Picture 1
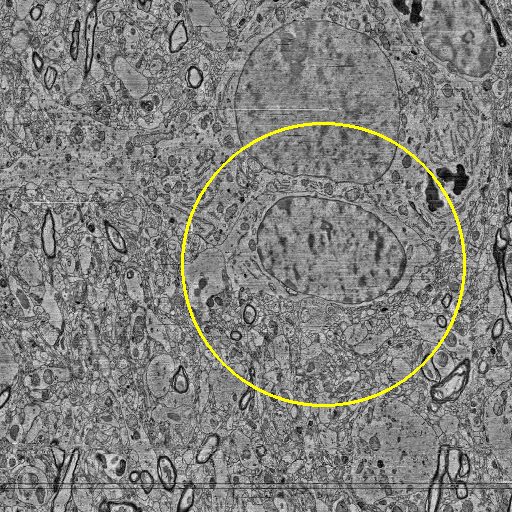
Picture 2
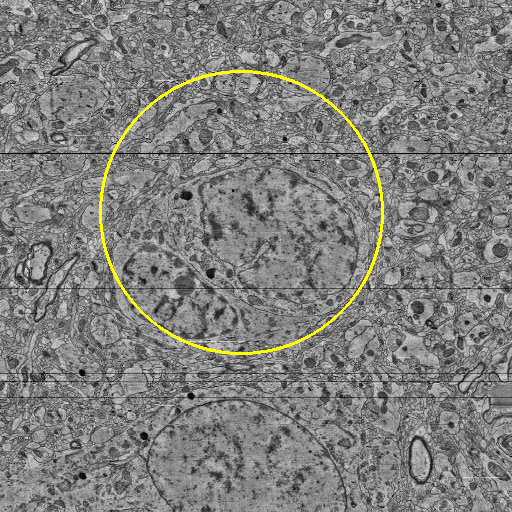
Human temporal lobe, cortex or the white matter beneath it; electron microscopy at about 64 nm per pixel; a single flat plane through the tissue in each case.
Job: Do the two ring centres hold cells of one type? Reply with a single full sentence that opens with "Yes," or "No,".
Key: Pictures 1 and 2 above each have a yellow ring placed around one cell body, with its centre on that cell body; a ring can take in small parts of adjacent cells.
No, the cells at the two ring centres are of two separate types.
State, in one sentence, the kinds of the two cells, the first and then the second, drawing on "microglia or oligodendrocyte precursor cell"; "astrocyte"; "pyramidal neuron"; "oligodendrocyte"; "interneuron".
The ring in the second picture is centred on an interneuron, the ring in the first on a microglial cell or oligodendrocyte precursor cell.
